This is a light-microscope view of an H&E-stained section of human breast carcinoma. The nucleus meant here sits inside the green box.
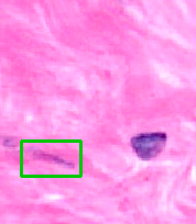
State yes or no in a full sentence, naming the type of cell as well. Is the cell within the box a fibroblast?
Yes, no change needed: the cell within the box is a fibroblast.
